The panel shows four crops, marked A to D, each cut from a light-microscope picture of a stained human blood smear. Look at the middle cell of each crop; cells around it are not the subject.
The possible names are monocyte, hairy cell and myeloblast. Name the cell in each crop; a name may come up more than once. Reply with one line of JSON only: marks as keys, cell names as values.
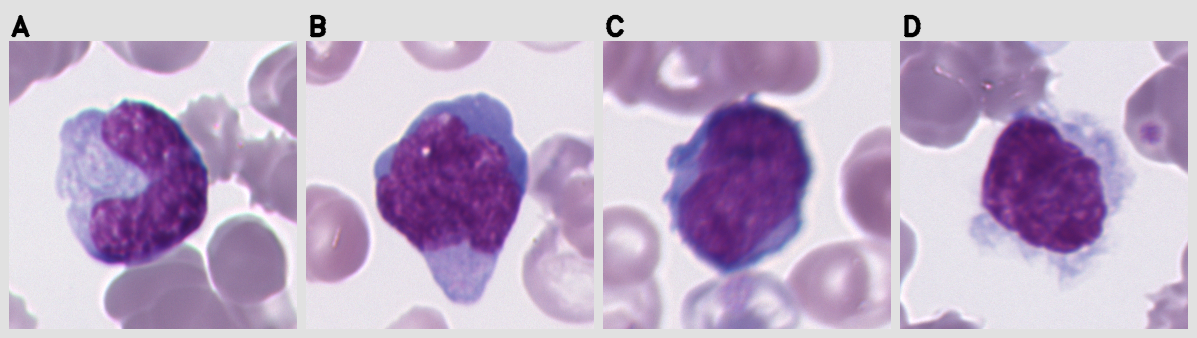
{"A": "monocyte", "B": "myeloblast", "C": "myeloblast", "D": "hairy cell"}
